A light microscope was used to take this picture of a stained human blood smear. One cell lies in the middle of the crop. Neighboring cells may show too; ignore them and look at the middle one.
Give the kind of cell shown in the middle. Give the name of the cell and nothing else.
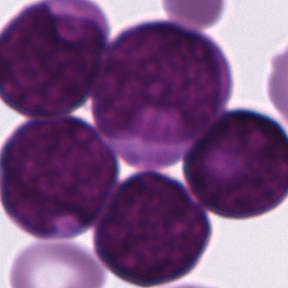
myeloblast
